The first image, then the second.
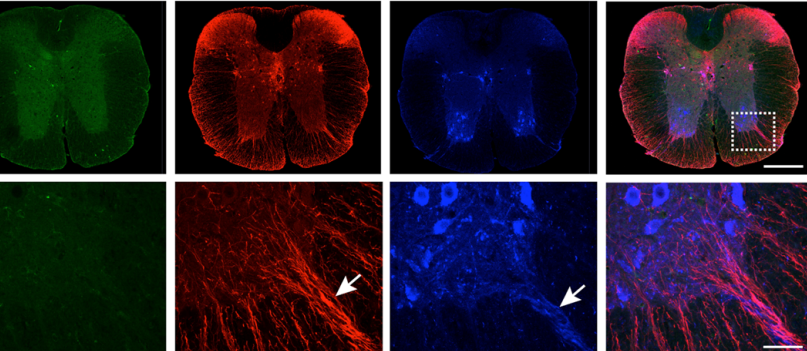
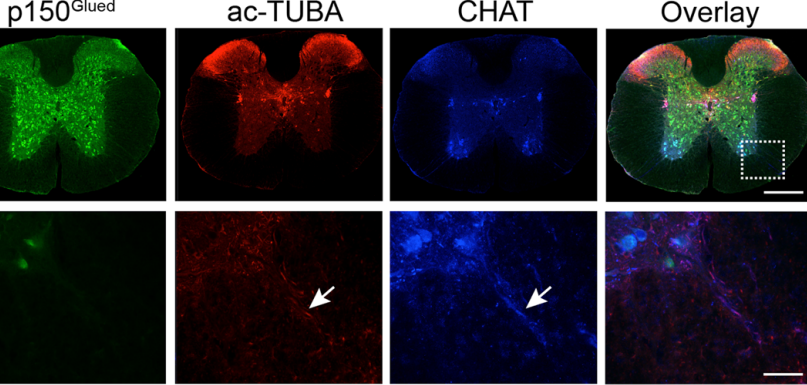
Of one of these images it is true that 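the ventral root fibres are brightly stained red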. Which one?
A: the first image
